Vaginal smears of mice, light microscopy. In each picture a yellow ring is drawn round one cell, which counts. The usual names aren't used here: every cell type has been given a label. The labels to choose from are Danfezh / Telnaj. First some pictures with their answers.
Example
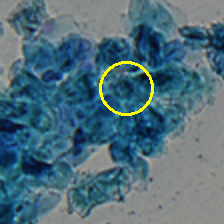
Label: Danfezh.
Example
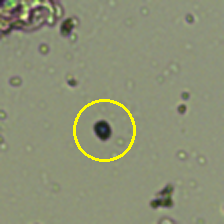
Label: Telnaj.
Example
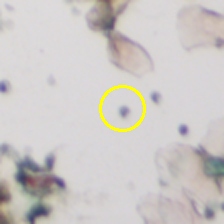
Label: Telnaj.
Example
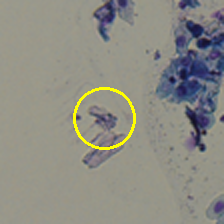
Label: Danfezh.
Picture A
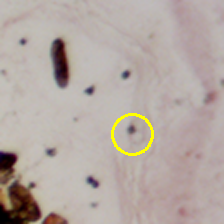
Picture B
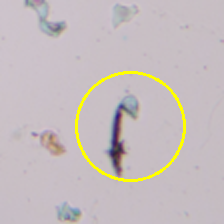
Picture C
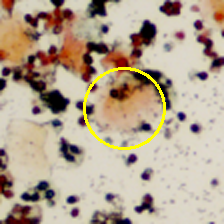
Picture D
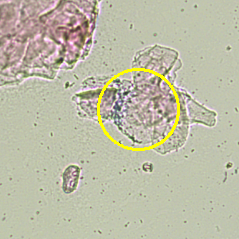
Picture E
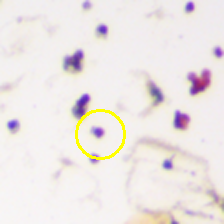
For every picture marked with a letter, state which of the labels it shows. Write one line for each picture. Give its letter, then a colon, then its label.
A: Telnaj.
B: Danfezh.
C: Danfezh.
D: Danfezh.
E: Telnaj.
